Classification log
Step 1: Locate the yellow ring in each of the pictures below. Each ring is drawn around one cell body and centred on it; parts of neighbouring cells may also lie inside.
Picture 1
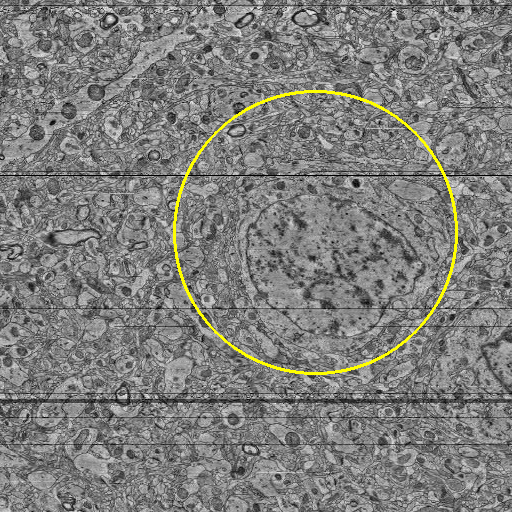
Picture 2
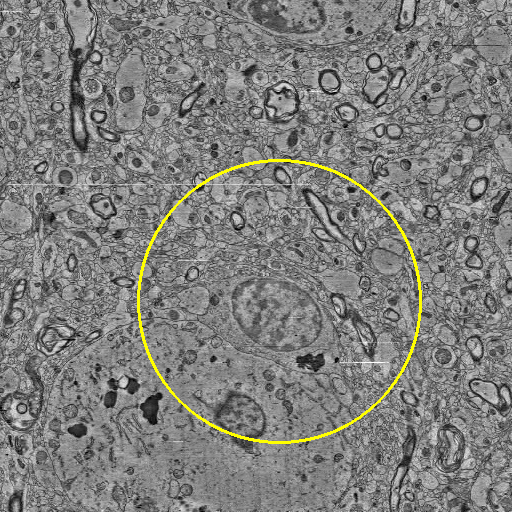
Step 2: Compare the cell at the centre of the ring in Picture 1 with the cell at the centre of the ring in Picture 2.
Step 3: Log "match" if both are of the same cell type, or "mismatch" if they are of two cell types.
mismatch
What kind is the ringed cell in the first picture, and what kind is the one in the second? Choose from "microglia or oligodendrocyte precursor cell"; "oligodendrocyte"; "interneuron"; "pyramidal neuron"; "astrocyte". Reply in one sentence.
The first cell is a pyramidal neuron; the second is an oligodendrocyte.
